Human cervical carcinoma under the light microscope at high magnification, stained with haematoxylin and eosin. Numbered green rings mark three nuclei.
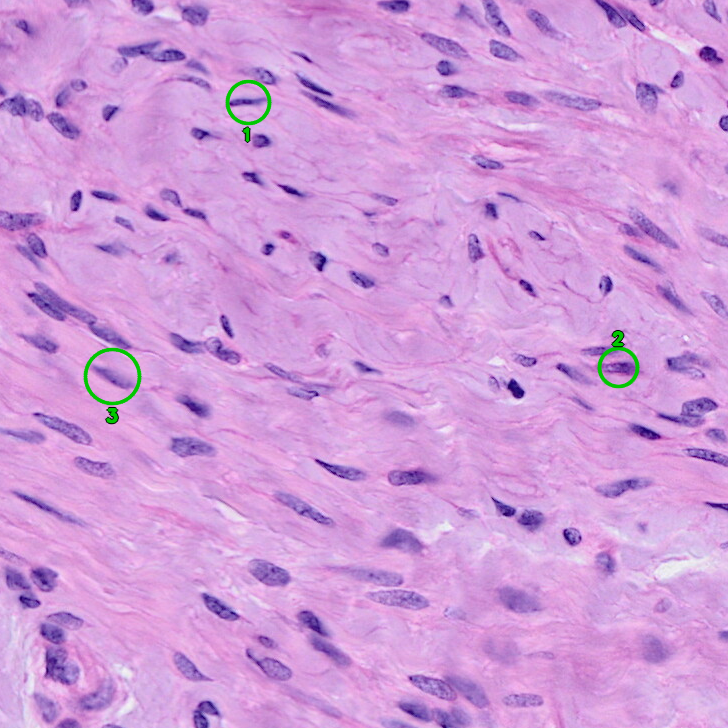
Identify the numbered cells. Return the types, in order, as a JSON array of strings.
["fibroblast", "smooth muscle cell", "fibroblast"]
